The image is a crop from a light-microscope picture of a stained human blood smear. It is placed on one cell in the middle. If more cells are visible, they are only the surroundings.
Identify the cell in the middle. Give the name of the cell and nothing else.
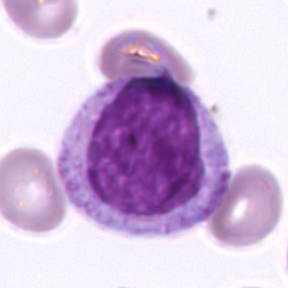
myelocyte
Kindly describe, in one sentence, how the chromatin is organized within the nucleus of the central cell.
The chromatin here is fine and lacks any coarse clumps.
